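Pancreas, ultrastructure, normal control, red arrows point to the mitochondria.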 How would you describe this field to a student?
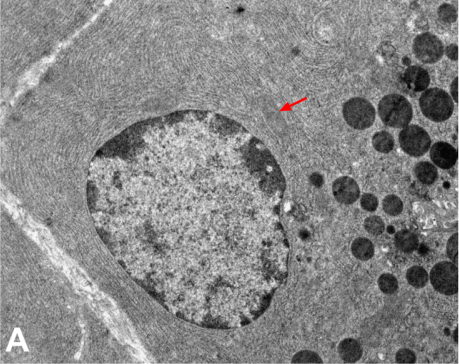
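A pancreatic cell is seen at high magnification with a large oval nucleus whose heterochromatin is condensed in patches along the nuclear envelope. The surrounding cytoplasm is packed with parallel stacks of membranes that sweep around the nucleus. To the right lies a cluster of round, uniformly electron-dense granules of varying size. A small oval organelle lies among the membrane stacks above the nucleus, and a pale band of intercellular space runs along the left edge.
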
